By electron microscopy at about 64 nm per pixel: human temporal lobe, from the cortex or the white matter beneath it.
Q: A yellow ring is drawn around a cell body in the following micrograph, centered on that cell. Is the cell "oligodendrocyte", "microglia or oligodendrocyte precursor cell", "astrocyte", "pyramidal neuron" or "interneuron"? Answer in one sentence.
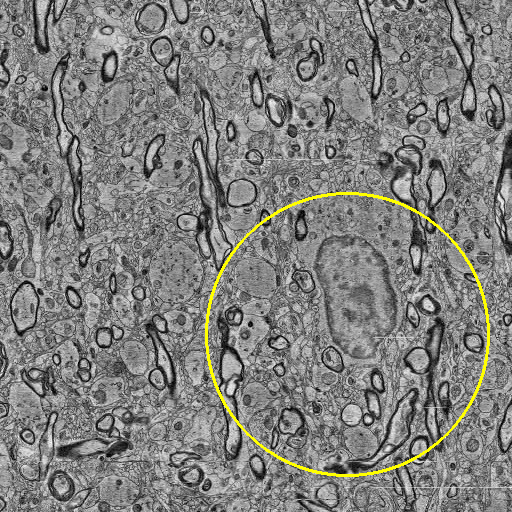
The cell in the center of the ring is an oligodendrocyte.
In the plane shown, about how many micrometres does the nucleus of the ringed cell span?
Approximately 8 micrometres long and 4 micrometres wide, so clearly longer than it is wide in this plane.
